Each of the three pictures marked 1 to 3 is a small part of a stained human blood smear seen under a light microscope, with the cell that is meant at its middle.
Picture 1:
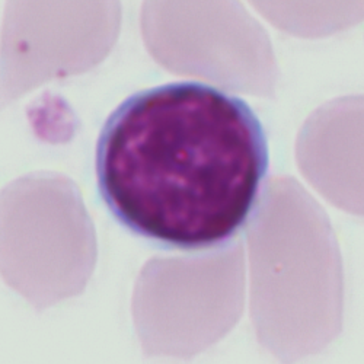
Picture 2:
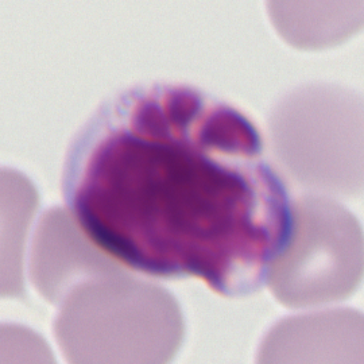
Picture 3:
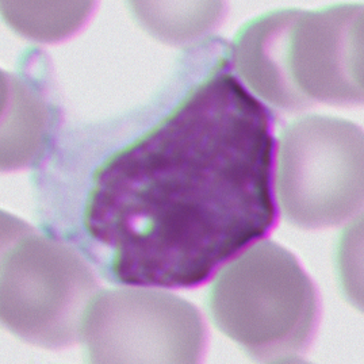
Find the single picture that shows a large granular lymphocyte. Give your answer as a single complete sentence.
The large granular lymphocyte is the one in picture 2.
